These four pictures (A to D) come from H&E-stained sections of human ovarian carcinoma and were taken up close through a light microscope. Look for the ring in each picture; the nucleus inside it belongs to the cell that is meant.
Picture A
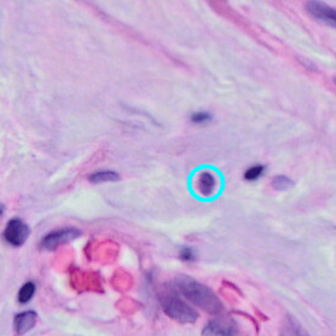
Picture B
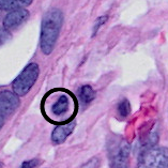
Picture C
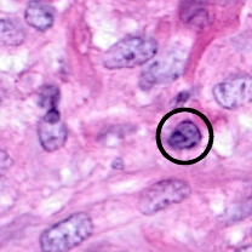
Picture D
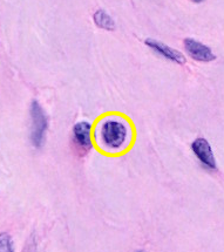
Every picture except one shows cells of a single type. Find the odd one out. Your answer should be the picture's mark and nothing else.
C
